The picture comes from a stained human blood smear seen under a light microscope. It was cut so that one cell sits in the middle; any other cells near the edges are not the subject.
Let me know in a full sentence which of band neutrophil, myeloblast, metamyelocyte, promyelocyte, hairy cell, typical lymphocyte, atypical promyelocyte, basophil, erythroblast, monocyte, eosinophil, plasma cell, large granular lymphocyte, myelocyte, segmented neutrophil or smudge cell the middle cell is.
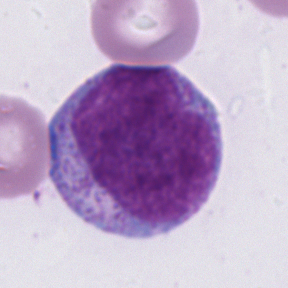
What sits at the centre of this crop is a promyelocyte.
